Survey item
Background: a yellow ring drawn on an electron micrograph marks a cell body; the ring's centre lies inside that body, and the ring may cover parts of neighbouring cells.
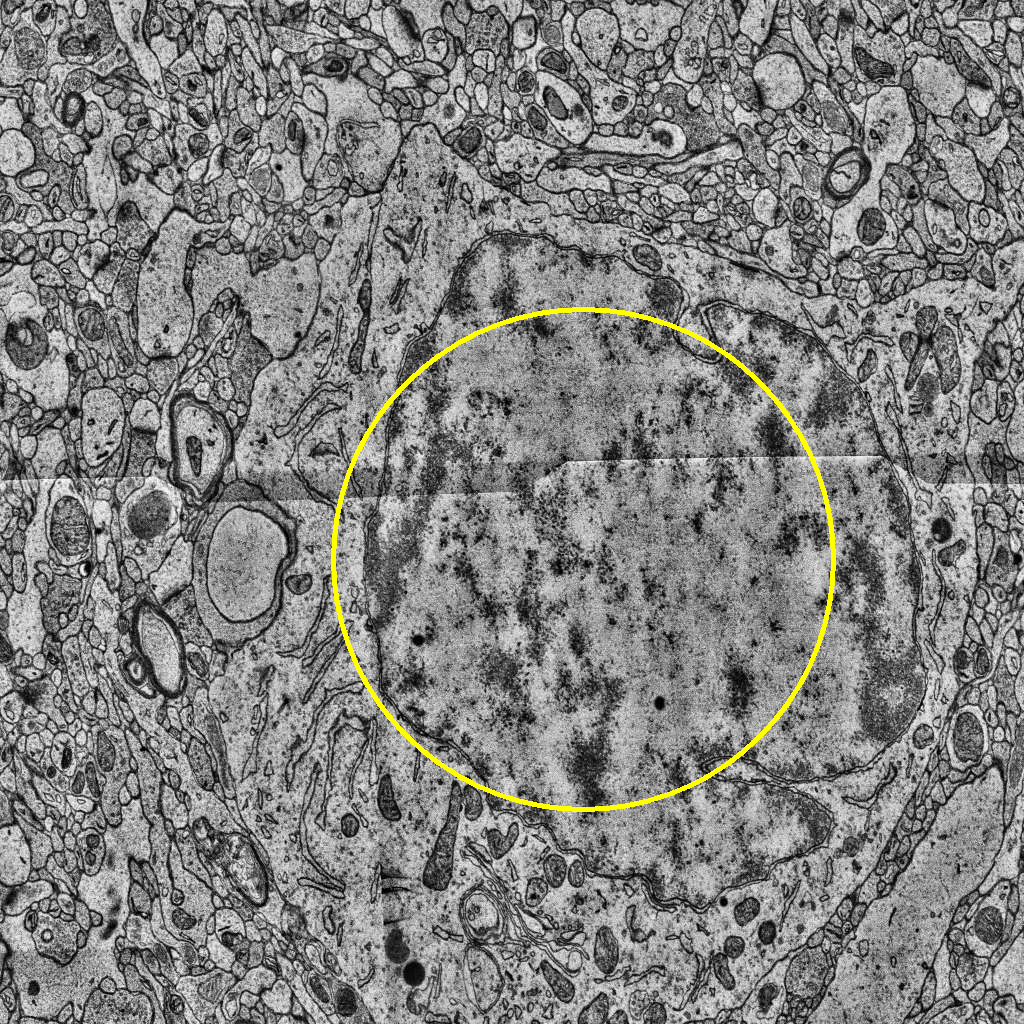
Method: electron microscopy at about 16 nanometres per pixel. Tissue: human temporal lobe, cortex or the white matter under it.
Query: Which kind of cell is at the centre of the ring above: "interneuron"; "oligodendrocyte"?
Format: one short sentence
The cell in the middle of the ring is an interneuron.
